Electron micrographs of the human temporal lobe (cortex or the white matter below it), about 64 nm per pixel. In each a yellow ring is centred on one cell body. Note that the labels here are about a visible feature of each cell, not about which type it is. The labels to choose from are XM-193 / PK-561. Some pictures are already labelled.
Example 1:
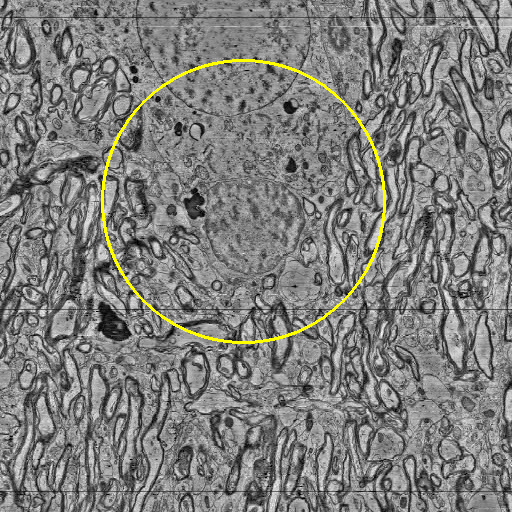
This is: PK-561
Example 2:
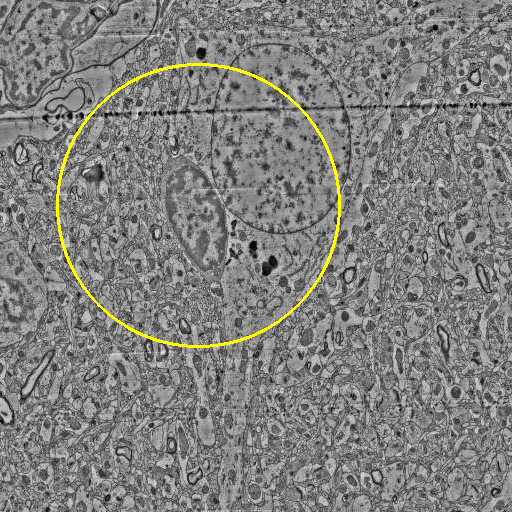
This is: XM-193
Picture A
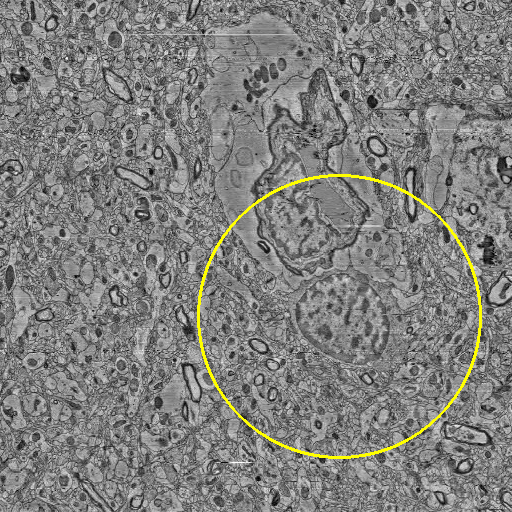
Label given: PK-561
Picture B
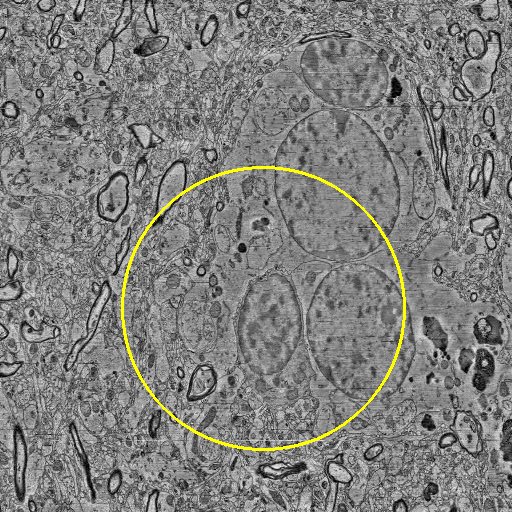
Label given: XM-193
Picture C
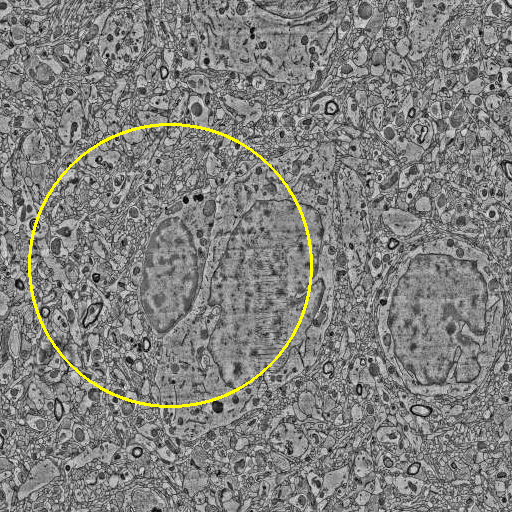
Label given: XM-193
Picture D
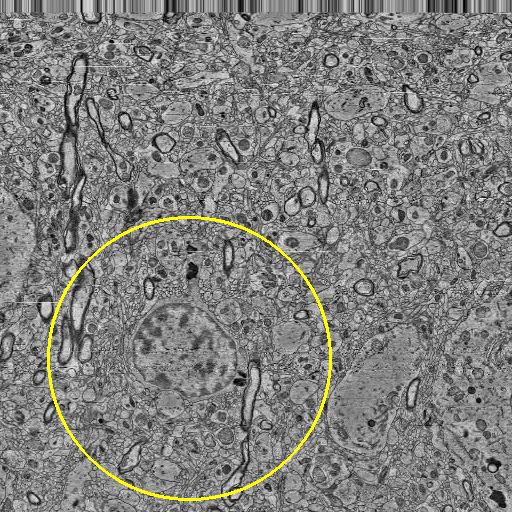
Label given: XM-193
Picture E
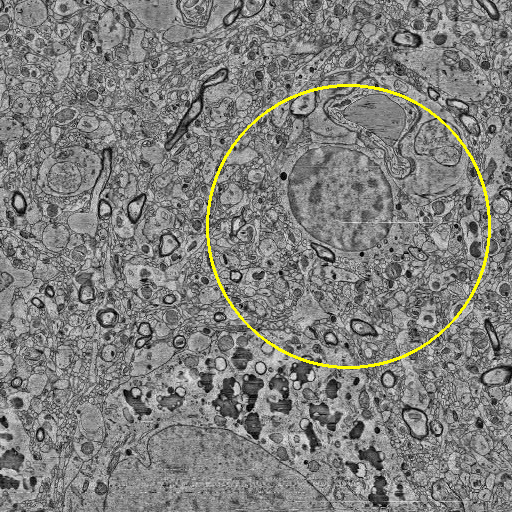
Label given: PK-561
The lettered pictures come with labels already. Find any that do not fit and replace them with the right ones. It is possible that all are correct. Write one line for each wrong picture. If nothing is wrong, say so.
D: PK-561, not XM-193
